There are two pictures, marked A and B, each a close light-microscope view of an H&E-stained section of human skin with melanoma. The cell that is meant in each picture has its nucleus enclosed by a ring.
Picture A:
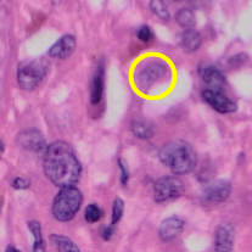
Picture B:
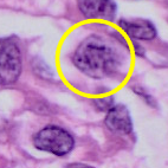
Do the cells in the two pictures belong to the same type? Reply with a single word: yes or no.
yes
